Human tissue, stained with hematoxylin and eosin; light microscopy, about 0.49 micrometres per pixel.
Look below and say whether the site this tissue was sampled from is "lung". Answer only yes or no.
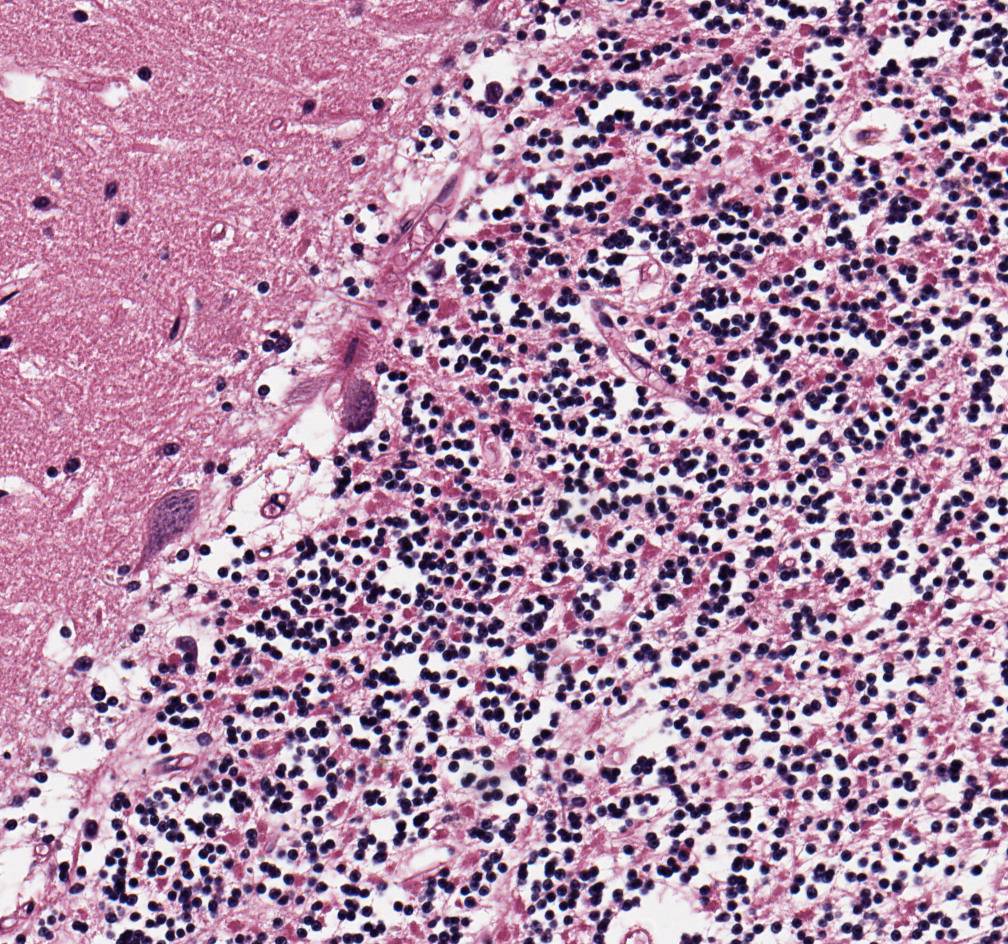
no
